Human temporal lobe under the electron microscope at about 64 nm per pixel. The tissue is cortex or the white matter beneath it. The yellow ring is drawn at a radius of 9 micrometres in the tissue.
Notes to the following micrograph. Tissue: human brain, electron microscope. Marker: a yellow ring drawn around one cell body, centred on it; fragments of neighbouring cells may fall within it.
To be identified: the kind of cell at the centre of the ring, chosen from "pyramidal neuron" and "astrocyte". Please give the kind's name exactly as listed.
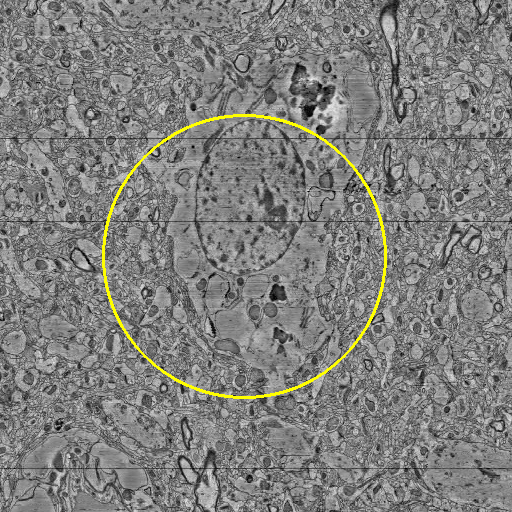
astrocyte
